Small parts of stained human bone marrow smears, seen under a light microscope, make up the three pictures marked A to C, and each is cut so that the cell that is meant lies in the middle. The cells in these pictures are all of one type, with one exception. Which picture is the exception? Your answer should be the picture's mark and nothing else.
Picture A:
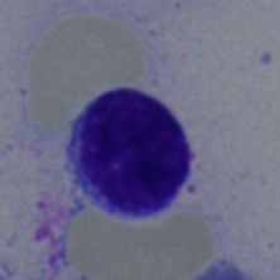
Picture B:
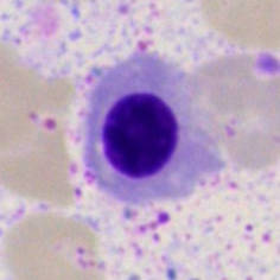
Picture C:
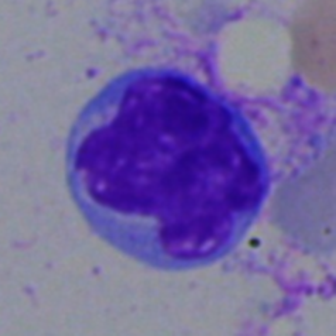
B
